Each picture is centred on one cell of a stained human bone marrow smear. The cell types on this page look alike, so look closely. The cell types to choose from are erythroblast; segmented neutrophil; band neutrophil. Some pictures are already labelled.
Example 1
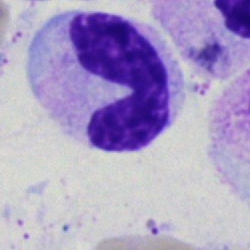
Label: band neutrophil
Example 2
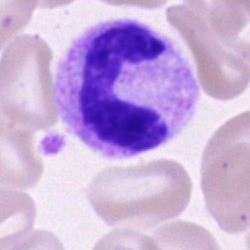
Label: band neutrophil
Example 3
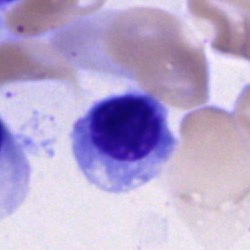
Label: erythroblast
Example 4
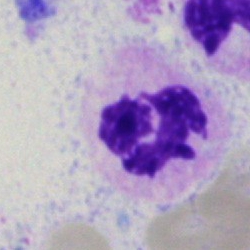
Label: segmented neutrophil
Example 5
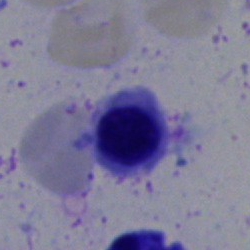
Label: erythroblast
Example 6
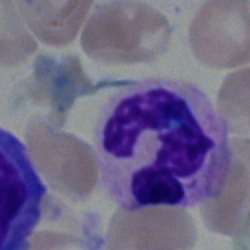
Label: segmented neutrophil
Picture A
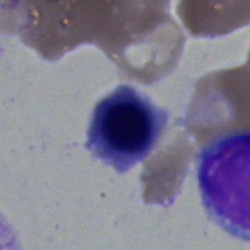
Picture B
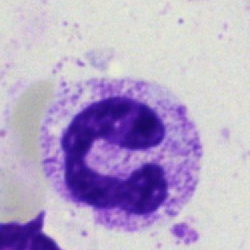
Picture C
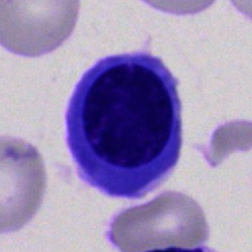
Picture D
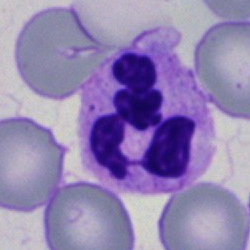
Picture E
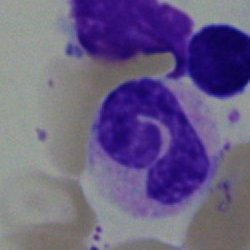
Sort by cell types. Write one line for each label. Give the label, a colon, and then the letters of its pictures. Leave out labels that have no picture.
erythroblast: A, C
segmented neutrophil: B, D
band neutrophil: E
